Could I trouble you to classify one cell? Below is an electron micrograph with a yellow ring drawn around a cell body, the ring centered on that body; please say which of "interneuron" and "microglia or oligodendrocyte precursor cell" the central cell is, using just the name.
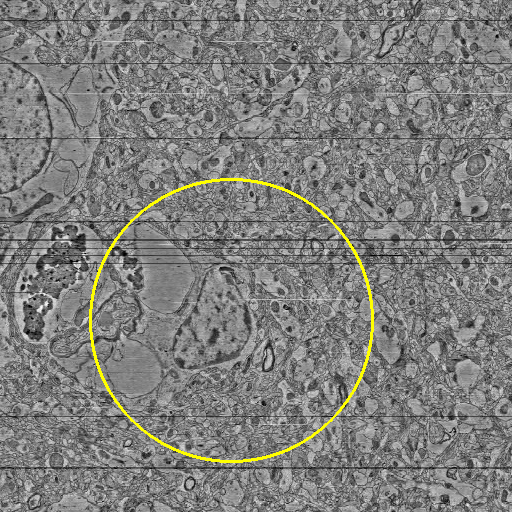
microglia or oligodendrocyte precursor cell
